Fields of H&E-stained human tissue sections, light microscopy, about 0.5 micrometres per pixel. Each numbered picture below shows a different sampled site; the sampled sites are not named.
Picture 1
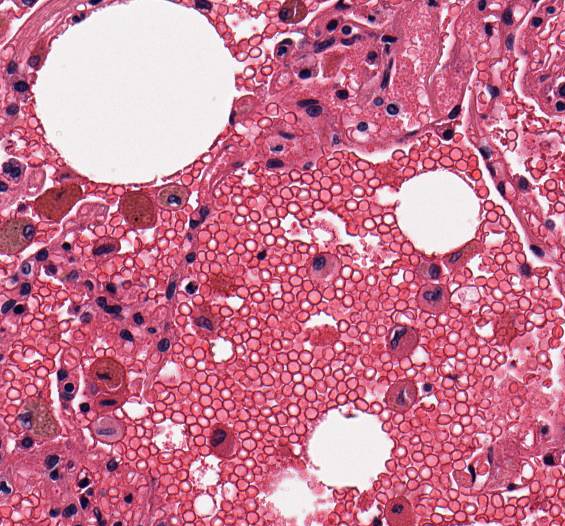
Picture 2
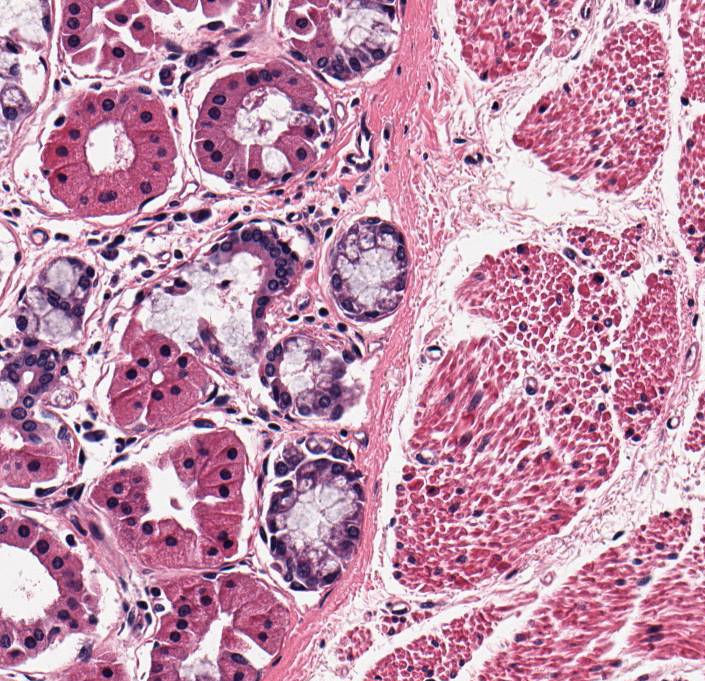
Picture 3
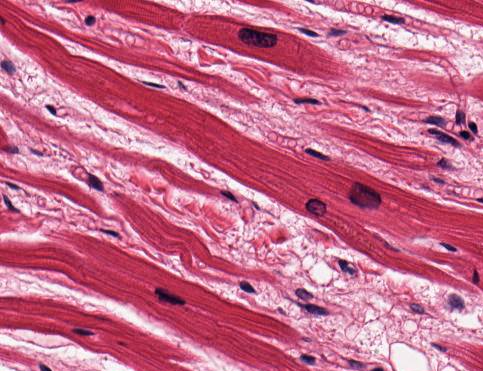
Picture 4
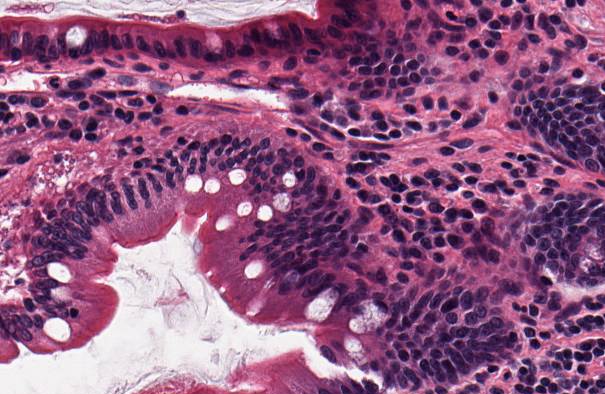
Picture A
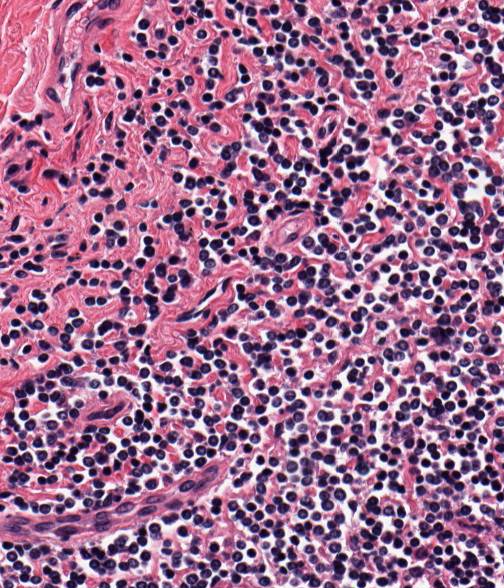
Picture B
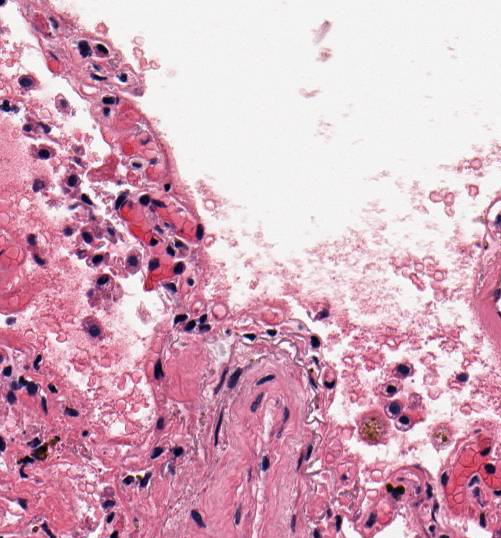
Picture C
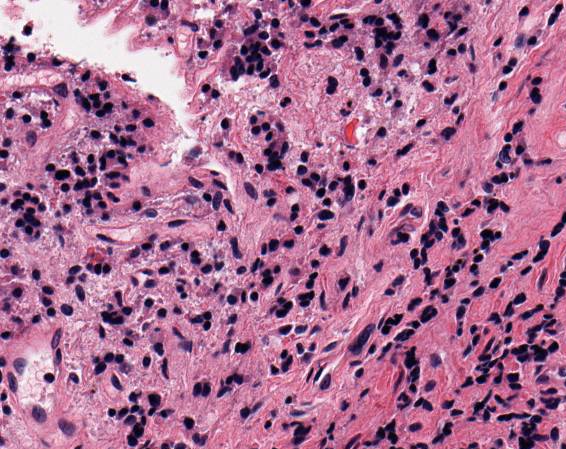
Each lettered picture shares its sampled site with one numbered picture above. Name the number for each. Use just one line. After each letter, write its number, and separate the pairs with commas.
A 4, B 1, C 4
